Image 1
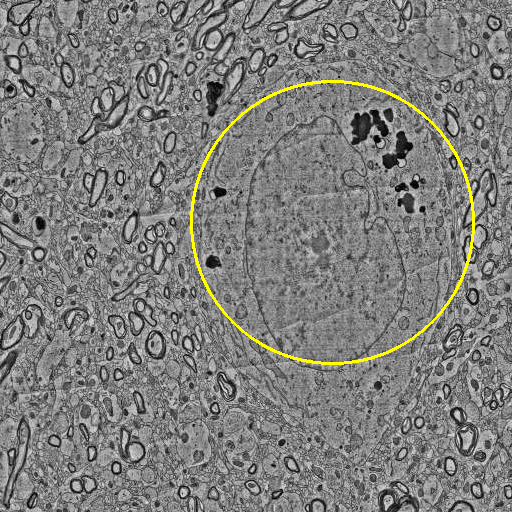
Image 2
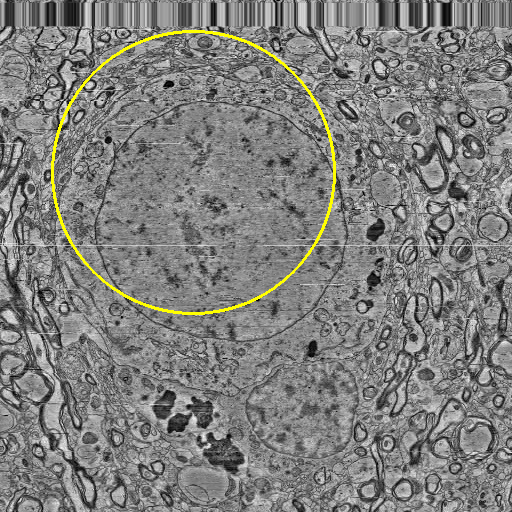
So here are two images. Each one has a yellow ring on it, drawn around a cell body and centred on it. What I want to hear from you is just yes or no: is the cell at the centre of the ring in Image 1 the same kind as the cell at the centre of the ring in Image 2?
yes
